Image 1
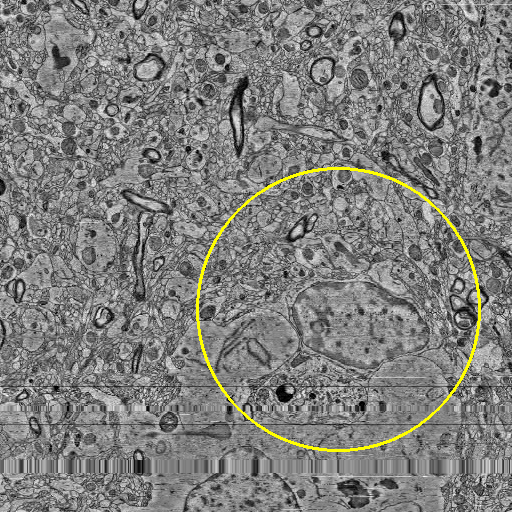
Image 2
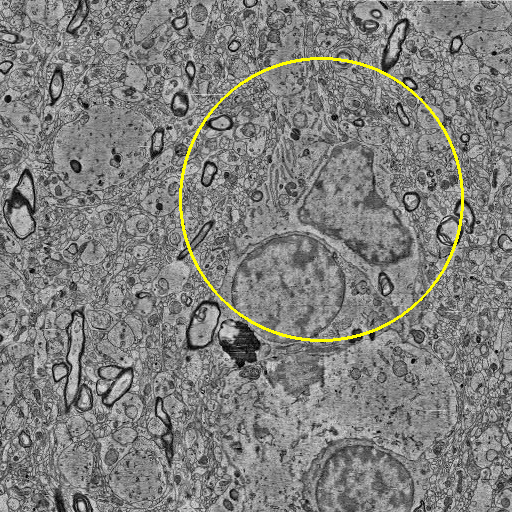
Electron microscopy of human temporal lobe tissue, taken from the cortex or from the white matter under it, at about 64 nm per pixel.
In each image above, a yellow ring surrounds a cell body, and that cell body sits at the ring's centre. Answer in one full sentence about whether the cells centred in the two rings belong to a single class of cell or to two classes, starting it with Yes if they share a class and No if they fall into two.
Yes, the cells centred in the two yellow rings belong to a single class of cell.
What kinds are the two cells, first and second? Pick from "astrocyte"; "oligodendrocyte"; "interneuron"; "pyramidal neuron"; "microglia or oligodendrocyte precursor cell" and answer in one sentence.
The ring centre holds a microglial cell or oligodendrocyte precursor cell in each of the two pictures.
